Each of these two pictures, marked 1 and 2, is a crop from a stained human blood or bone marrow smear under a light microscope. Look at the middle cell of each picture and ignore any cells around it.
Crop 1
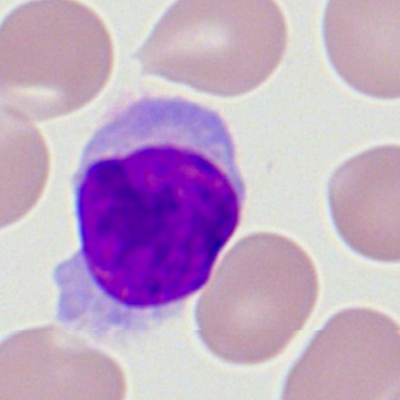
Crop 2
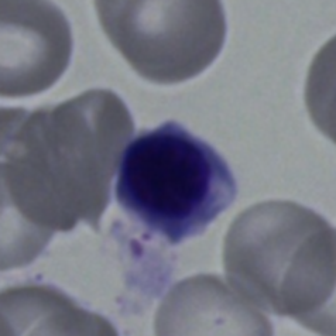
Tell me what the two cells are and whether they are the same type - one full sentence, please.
No, crop 1 depicts a lymphocyte, and crop 2 depicts an erythroblast.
